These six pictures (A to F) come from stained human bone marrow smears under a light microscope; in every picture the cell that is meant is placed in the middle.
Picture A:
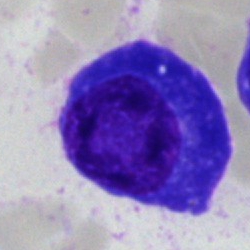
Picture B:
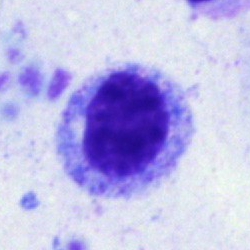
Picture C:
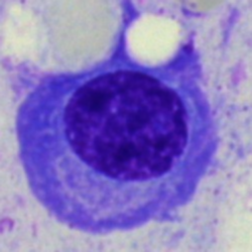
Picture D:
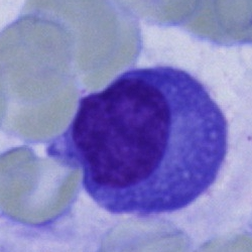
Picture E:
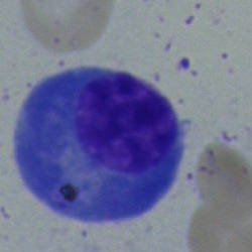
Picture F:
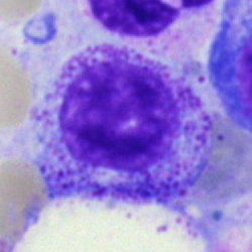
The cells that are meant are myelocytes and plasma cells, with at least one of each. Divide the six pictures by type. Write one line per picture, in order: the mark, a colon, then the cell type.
A: plasma cell
B: myelocyte
C: plasma cell
D: plasma cell
E: plasma cell
F: myelocyte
